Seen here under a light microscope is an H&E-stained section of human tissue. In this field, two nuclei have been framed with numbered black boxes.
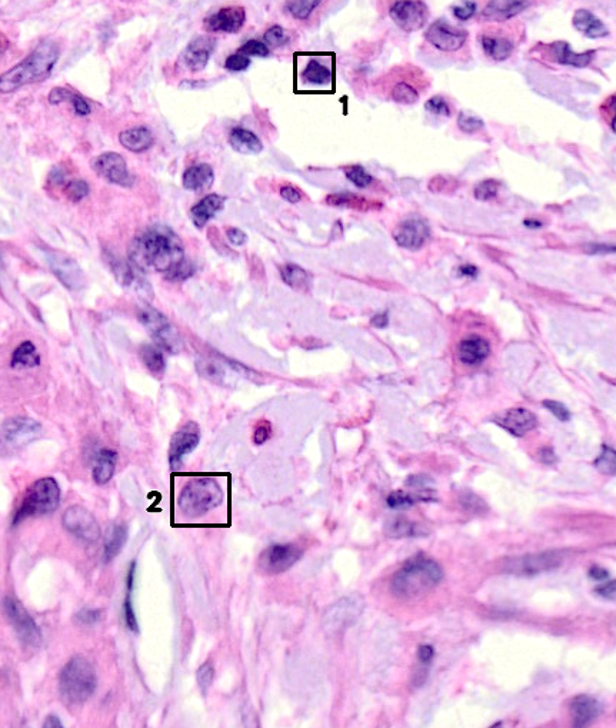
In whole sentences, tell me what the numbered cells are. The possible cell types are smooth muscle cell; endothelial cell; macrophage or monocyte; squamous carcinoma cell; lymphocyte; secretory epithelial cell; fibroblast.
Cell 1 is a lymphocyte. Cell 2 is a macrophage or monocyte.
